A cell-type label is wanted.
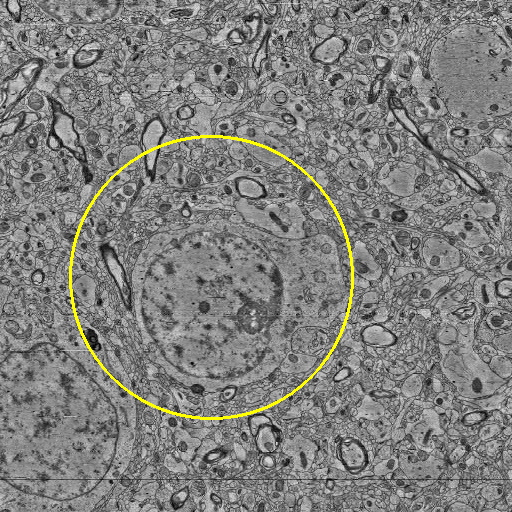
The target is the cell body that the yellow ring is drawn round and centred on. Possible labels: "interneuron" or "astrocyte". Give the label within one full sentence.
Of the labels offered, the cell in the middle of the yellow ring is an interneuron.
